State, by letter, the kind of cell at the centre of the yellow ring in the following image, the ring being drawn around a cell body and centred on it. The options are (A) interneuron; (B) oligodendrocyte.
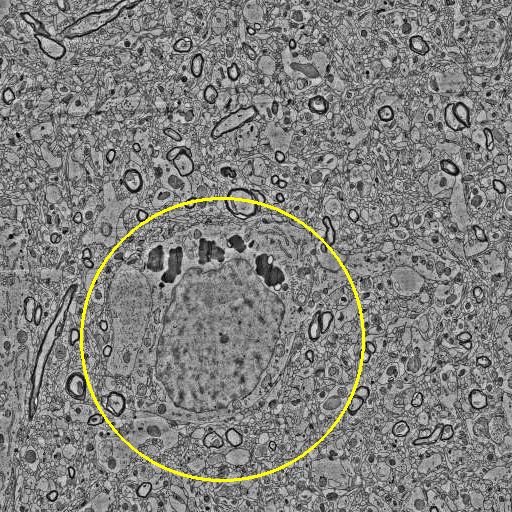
A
